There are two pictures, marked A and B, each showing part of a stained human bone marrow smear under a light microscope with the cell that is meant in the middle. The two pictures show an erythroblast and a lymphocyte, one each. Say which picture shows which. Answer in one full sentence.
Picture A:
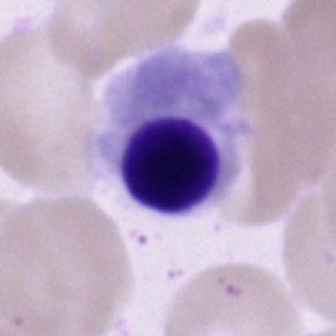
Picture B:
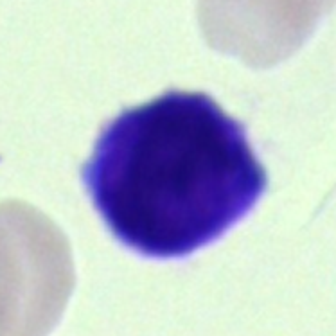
Picture A is of an erythroblast, and picture B is of a lymphocyte.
